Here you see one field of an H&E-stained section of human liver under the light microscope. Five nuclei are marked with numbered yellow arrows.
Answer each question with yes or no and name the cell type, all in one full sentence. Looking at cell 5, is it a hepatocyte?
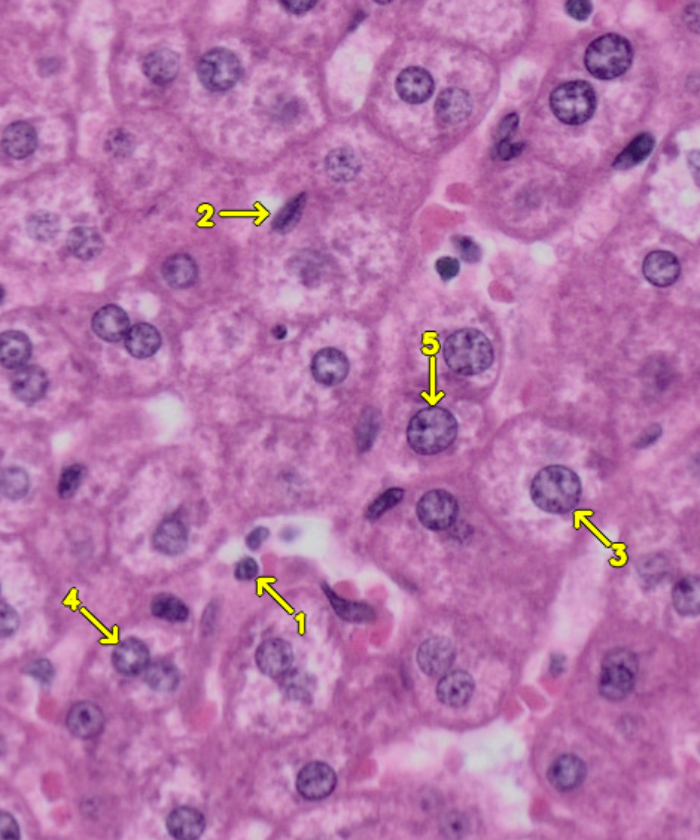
Yes, in this section the cell numbered 5 is a hepatocyte.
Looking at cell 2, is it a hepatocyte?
No, sorry, the cell labelled 2 is not a hepatocyte; it is an endothelial cell.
